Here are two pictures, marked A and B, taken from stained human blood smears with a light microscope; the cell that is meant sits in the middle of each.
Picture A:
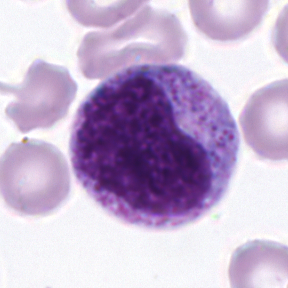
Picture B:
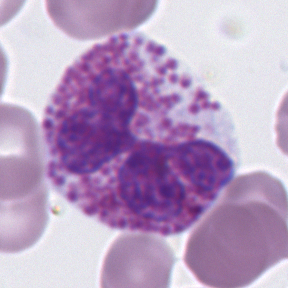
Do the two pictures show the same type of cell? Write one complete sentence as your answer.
No, they differ: the cell is a myelocyte in picture A and an eosinophil in picture B.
